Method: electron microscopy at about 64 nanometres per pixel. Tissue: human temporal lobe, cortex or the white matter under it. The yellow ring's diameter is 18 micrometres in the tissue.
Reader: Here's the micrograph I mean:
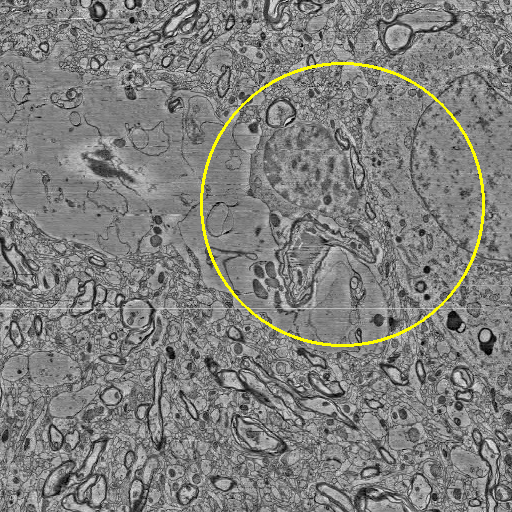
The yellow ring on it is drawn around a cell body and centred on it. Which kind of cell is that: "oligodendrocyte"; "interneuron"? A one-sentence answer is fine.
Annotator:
The ring is centred on an oligodendrocyte.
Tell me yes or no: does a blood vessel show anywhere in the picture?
Yes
